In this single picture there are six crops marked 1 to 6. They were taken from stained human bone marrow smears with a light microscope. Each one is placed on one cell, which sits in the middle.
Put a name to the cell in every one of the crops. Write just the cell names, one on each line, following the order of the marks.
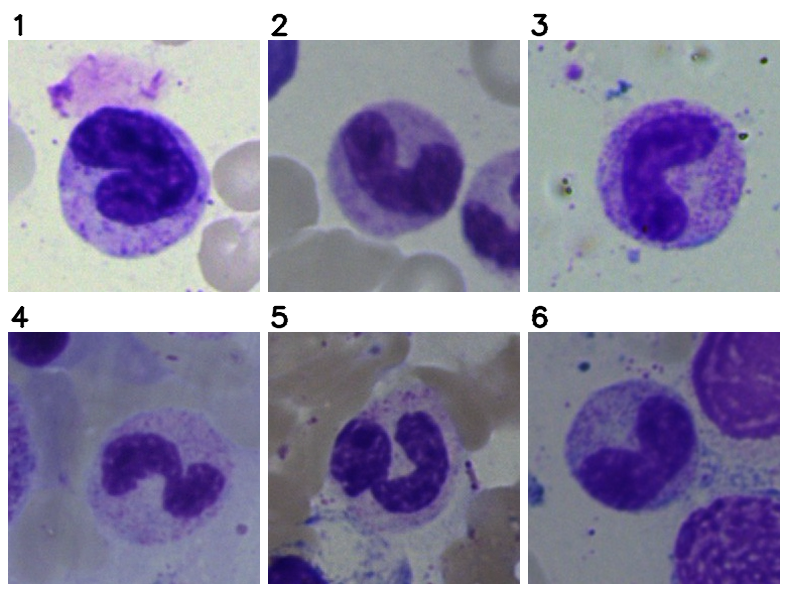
band neutrophil
band neutrophil
band neutrophil
segmented neutrophil
segmented neutrophil
band neutrophil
